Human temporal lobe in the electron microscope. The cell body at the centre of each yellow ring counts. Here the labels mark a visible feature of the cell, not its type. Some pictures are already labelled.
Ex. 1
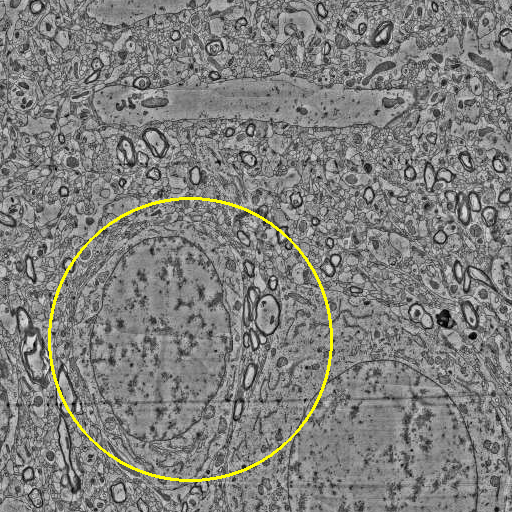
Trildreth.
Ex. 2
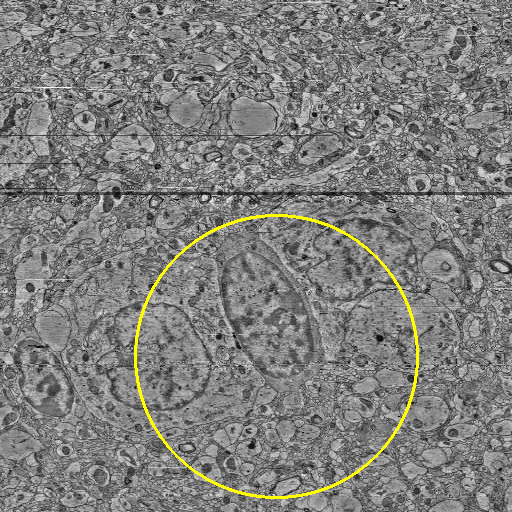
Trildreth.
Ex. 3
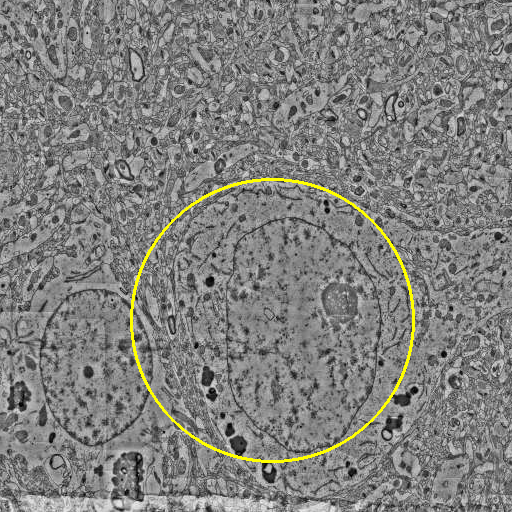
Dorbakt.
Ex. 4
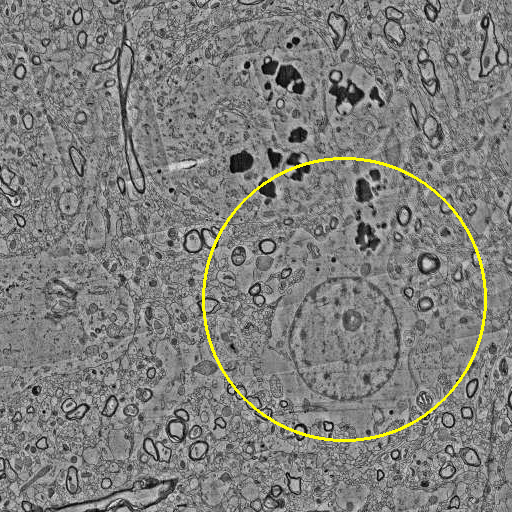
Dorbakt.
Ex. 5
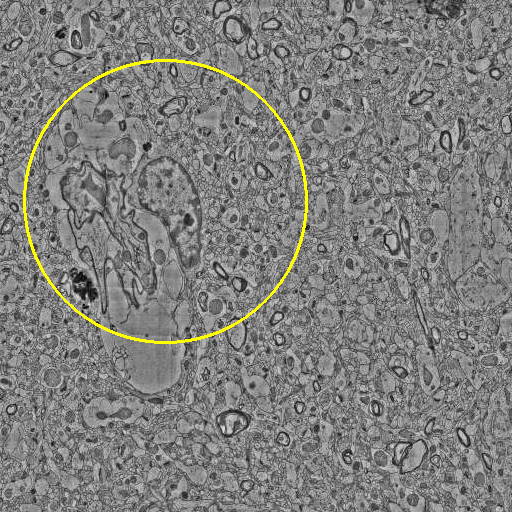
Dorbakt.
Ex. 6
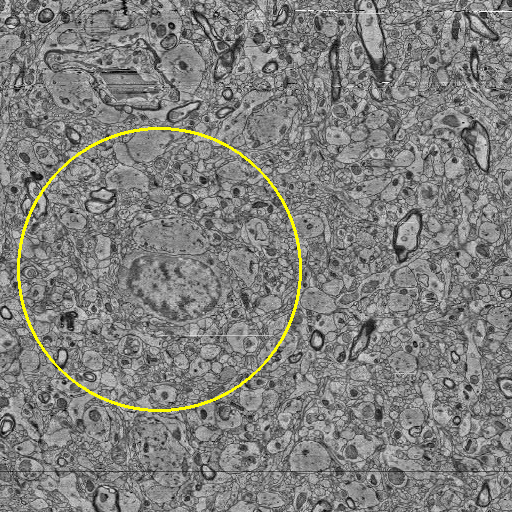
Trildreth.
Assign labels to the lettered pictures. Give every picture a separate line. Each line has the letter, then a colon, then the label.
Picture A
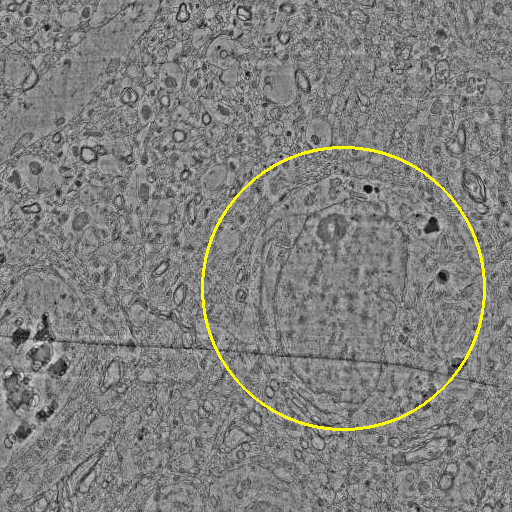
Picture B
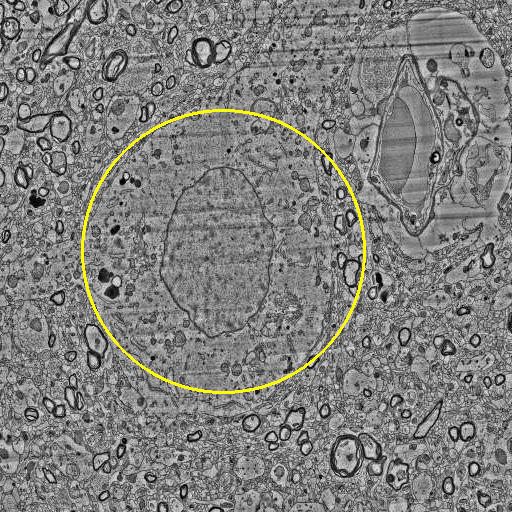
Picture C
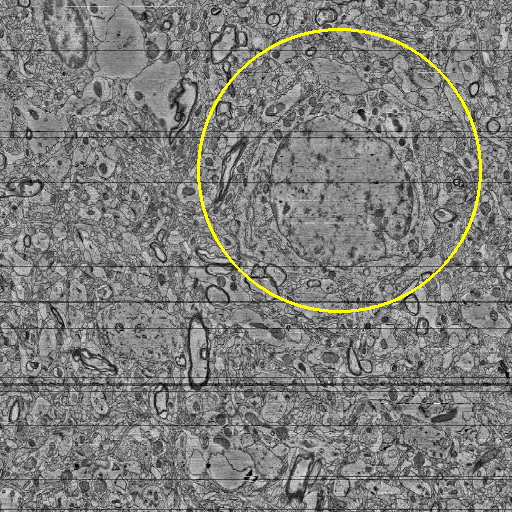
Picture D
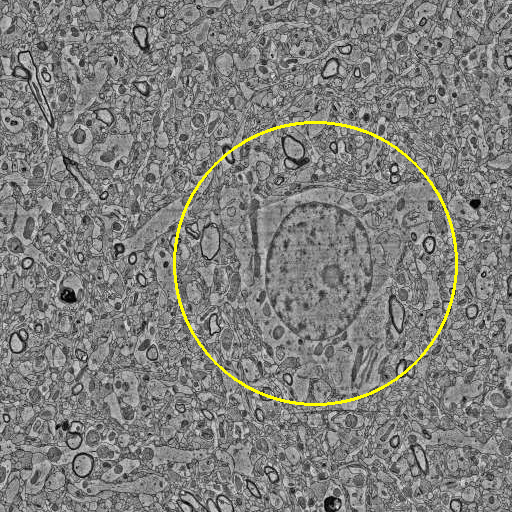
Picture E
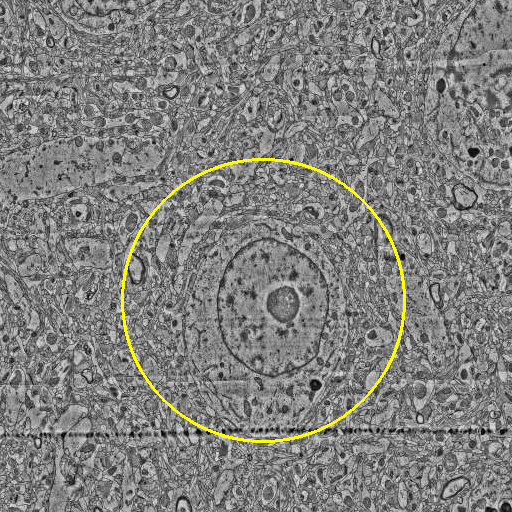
A: Dorbakt.
B: Trildreth.
C: Trildreth.
D: Dorbakt.
E: Dorbakt.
